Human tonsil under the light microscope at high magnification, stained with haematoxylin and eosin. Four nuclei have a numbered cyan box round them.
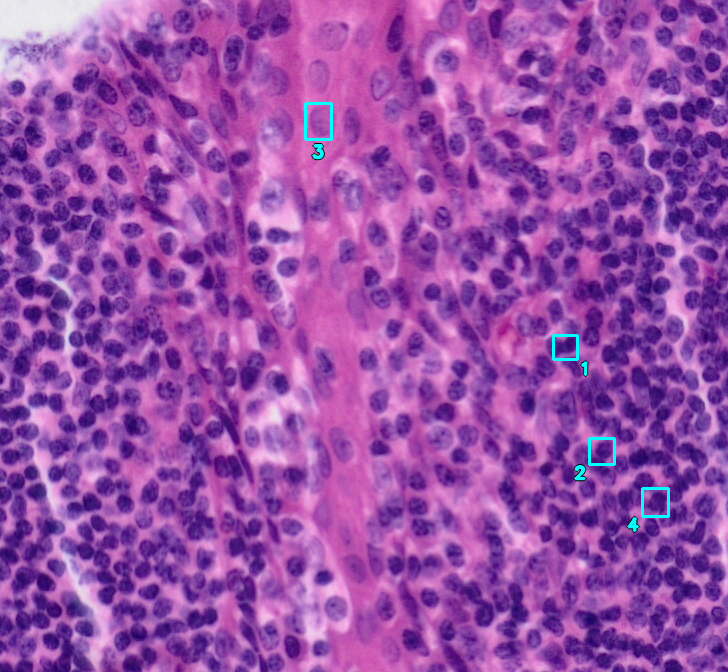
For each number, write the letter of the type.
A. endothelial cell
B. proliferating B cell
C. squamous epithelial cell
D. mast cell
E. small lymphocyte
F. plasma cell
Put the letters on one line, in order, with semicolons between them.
E; E; C; E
